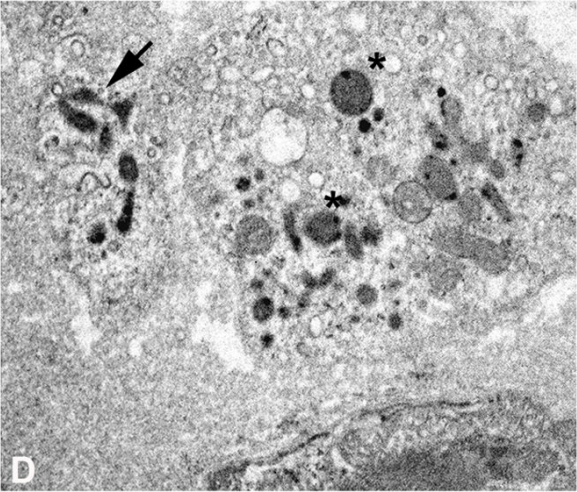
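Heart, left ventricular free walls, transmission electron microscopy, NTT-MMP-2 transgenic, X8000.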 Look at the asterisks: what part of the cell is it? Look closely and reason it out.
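The asterisks mark round membrane-bound bodies with a moderately dense matrix. Many small very dark dense granules lie among them.
Hence: lysosomes.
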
